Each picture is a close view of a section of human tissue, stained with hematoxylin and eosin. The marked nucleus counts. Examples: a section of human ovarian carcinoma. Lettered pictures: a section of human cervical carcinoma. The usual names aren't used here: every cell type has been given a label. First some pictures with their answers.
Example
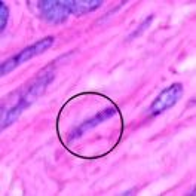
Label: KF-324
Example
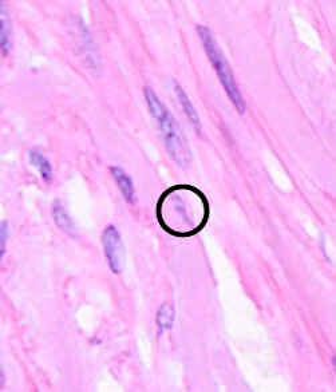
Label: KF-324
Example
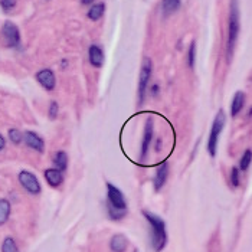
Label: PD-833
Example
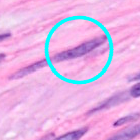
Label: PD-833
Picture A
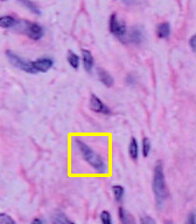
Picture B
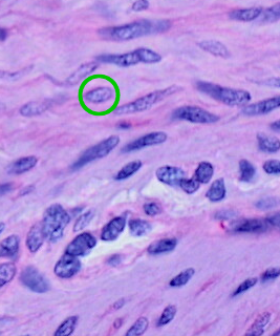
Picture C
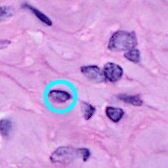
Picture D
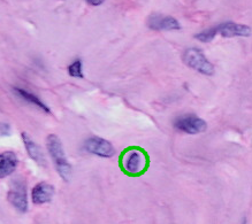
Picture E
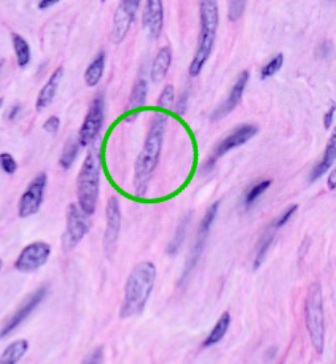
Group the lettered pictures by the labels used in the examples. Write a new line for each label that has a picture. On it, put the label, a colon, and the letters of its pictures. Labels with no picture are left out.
KF-324: C, D
PD-833: A, B, E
